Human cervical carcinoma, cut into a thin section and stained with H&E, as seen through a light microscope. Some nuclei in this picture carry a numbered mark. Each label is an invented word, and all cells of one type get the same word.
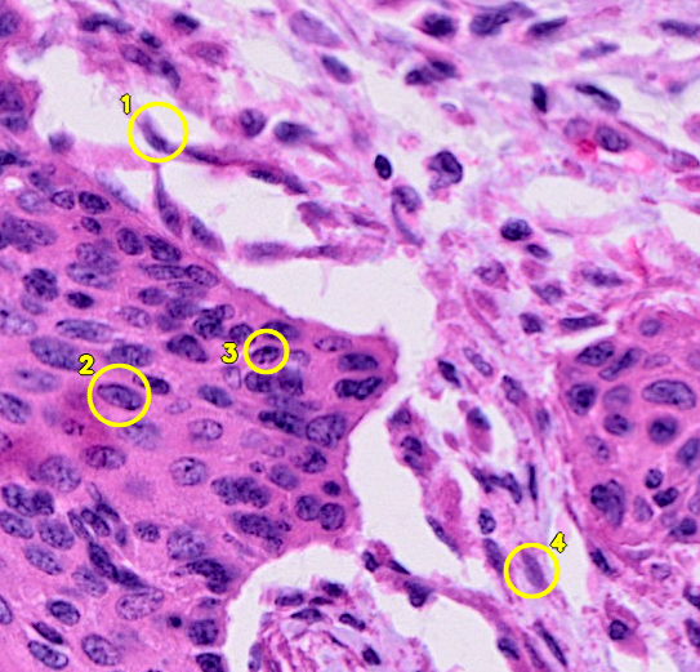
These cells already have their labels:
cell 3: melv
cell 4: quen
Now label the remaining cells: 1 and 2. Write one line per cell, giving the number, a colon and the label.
1: quen
2: melv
